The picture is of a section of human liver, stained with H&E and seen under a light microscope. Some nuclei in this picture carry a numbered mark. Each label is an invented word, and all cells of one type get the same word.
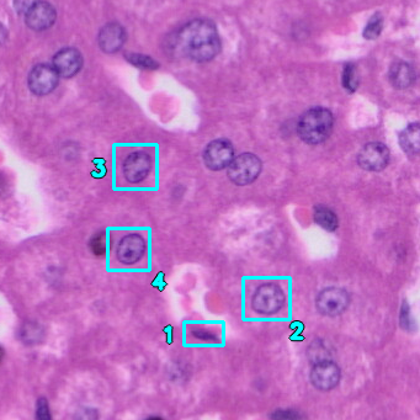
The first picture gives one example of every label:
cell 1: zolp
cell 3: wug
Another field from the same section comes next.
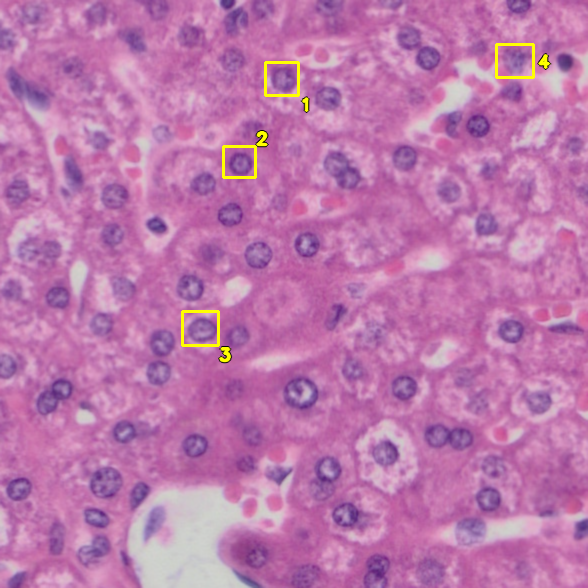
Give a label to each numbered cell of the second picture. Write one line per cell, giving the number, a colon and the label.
1: wug
2: wug
3: wug
4: zolp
